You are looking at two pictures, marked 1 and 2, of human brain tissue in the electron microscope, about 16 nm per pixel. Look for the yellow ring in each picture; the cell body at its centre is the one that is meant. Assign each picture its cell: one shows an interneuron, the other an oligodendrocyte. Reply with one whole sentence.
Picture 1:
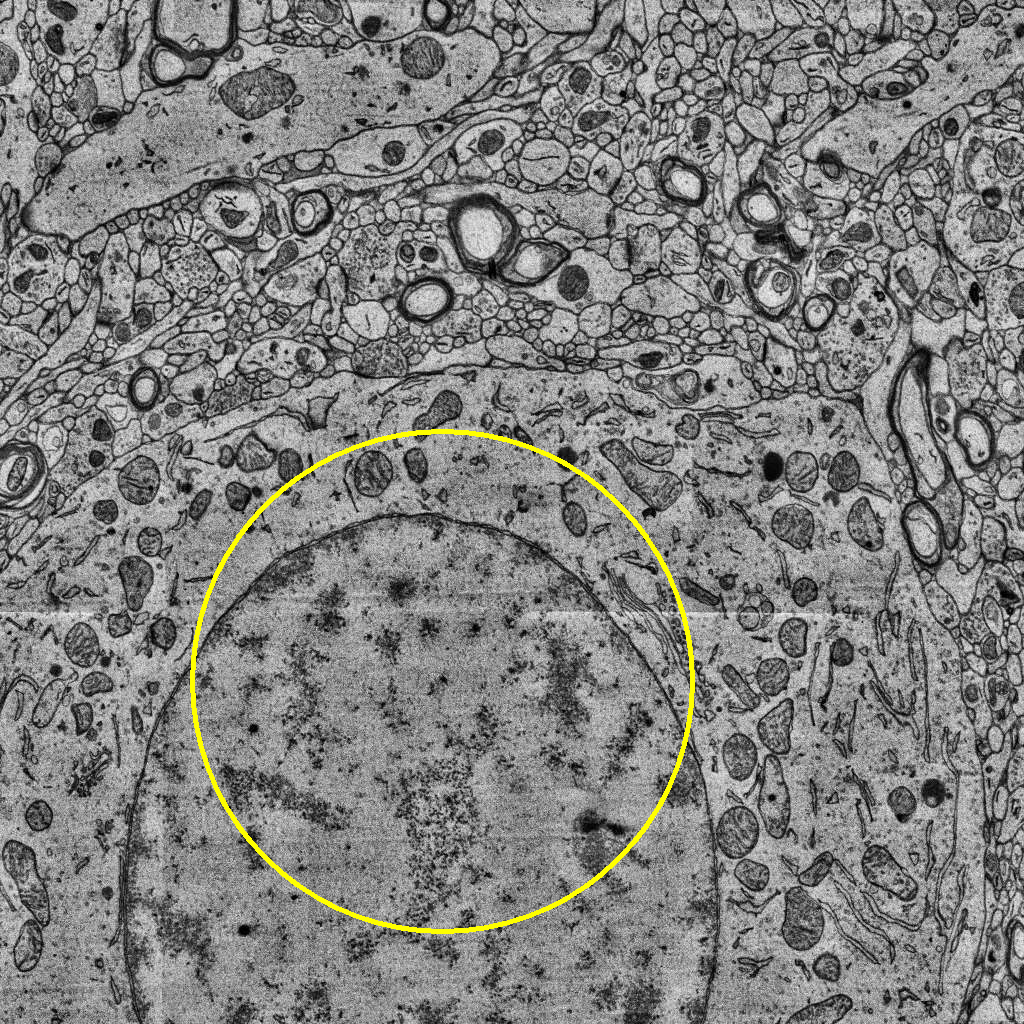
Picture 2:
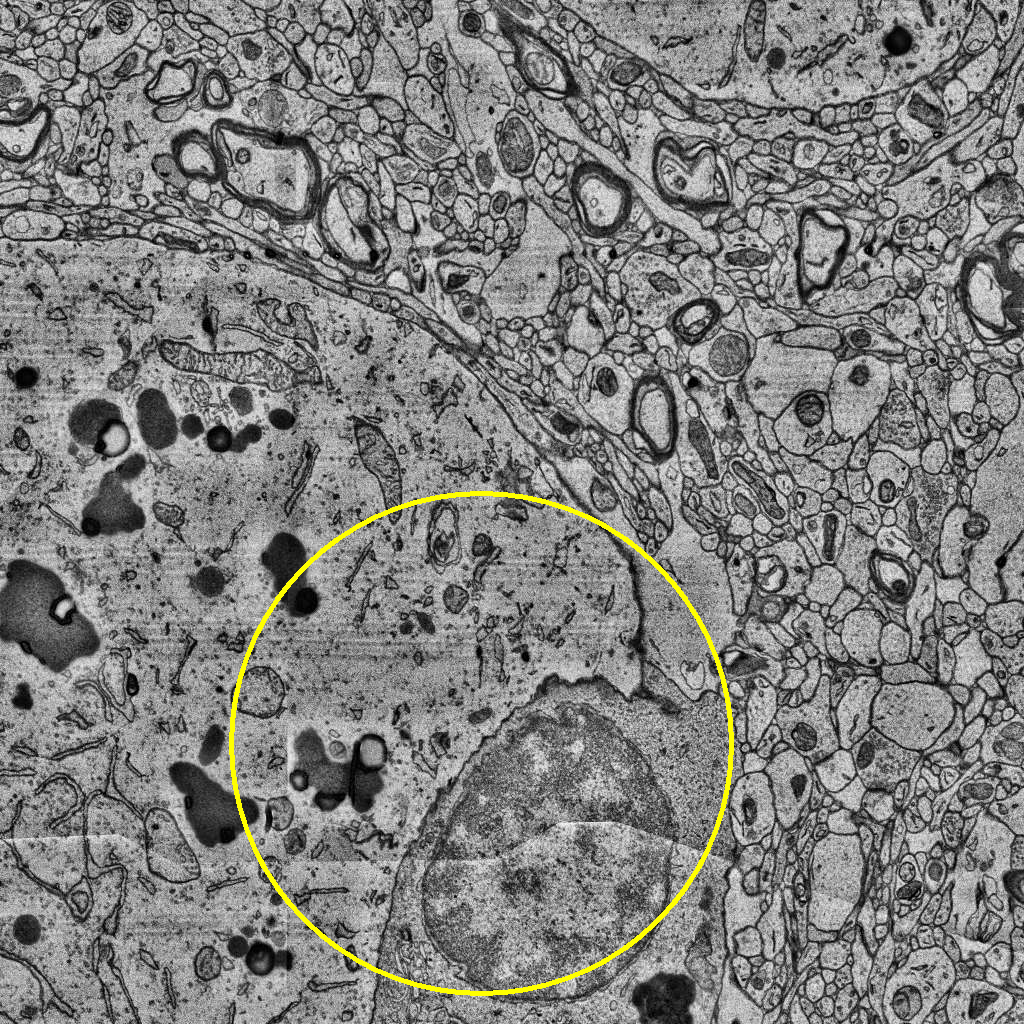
Picture 1 is of an interneuron, and picture 2 is of an oligodendrocyte.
